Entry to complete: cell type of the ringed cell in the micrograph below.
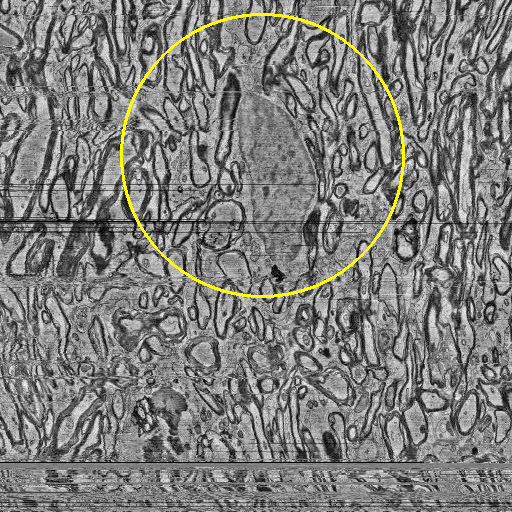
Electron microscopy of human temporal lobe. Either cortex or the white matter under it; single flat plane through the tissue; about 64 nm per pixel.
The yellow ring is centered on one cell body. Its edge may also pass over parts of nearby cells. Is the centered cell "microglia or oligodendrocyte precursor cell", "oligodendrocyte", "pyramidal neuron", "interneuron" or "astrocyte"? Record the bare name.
oligodendrocyte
